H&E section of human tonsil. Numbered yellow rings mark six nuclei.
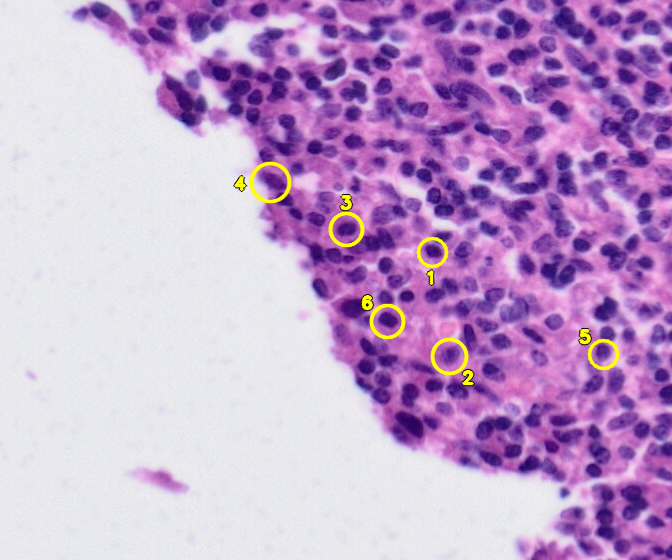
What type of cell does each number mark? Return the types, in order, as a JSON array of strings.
["plasma cell", "endothelial cell", "plasma cell", "squamous epithelial cell", "plasma cell", "plasma cell"]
